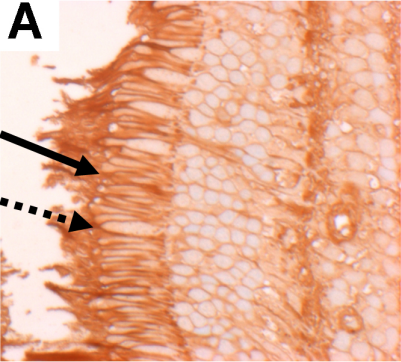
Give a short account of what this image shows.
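This is the photoreceptor layer of the retina, with rods and cones standing side by side as a palisade of elongated segments whose outlines are stained brown. Next to the palisade lies a thick band of closely packed pale round nuclei, and a further thinner band of nuclei lies beyond it.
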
